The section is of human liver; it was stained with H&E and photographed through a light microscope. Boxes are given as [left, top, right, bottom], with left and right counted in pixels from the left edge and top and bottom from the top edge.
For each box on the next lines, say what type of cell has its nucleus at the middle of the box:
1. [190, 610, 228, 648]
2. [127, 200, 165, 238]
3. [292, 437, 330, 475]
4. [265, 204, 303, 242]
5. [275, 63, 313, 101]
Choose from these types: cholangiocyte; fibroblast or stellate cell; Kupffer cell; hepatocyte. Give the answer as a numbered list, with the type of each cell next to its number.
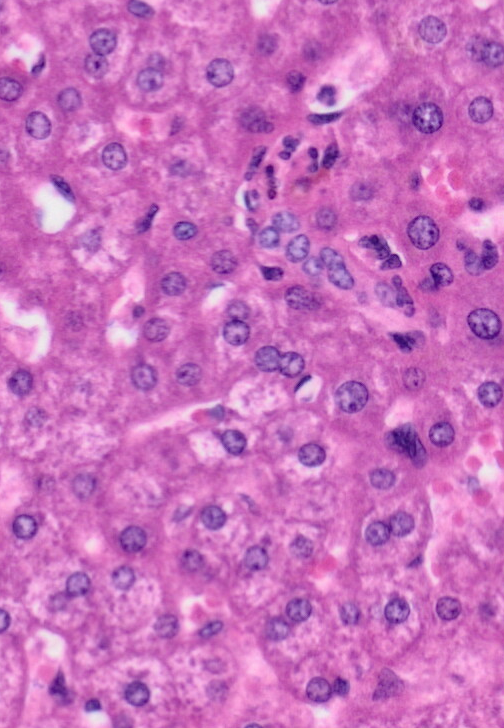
1. Kupffer cell
2. fibroblast or stellate cell
3. hepatocyte
4. cholangiocyte
5. fibroblast or stellate cell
